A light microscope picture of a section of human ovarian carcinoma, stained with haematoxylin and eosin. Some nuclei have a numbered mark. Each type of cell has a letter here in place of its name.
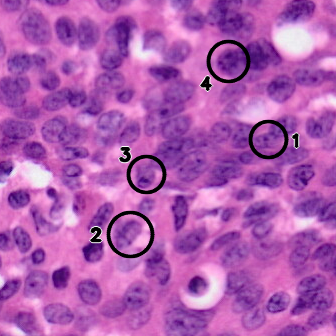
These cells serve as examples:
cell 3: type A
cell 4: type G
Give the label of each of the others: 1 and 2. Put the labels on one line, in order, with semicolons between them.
type G; type A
